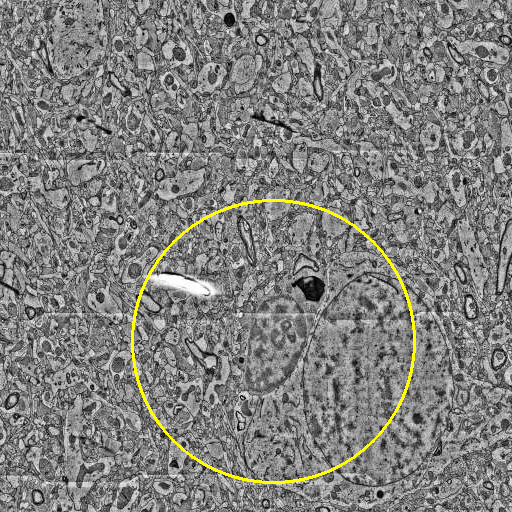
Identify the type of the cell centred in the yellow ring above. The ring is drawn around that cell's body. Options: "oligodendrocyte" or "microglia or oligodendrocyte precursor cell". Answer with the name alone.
oligodendrocyte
